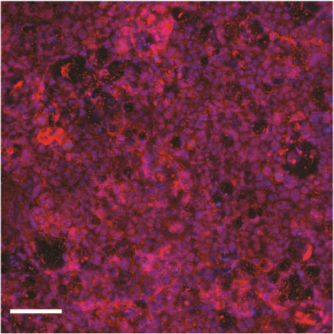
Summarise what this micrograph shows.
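Blue nuclei are small, round and crowded, their outlines partly blurred by overlying red. Red stain is strong and widespread through the cytoplasm, granular in texture, with brighter red clusters scattered across the field, some forming rounded aggregates. Several small dark gaps without nuclei or red stain interrupt the layer.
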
